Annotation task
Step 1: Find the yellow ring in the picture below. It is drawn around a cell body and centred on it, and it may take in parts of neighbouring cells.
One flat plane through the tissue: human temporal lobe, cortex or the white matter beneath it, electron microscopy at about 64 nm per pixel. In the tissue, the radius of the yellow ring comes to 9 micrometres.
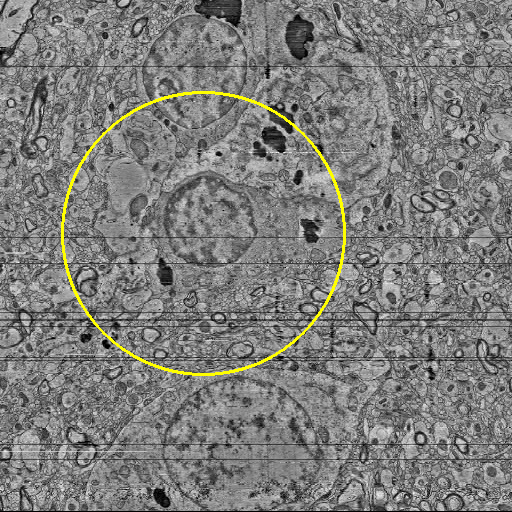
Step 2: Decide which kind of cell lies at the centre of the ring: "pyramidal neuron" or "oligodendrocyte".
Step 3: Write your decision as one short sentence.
The kind of cell at the ring's centre is an oligodendrocyte.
